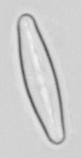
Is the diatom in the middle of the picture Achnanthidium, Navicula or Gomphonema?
It is Achnanthidium.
